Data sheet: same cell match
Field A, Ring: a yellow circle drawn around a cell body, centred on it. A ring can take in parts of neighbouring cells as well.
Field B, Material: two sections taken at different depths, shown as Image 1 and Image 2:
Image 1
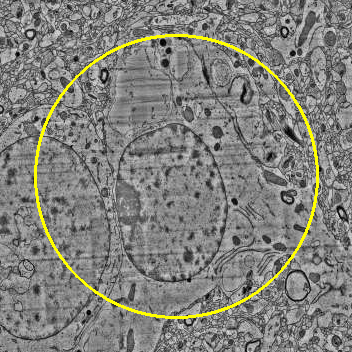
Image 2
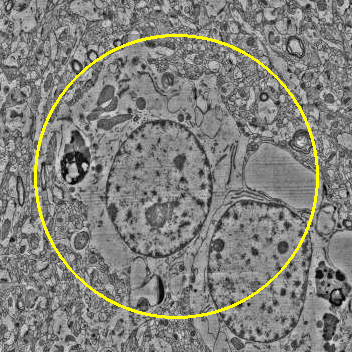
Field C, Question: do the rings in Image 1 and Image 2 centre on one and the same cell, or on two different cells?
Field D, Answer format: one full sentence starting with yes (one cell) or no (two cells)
No, one ring and the other ring mark two distinct cells.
